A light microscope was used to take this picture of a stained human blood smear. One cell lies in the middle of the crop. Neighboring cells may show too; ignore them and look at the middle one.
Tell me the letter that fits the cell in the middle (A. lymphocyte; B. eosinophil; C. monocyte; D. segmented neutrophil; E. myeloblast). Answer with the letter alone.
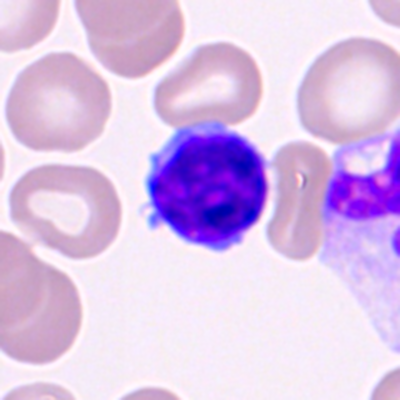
A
